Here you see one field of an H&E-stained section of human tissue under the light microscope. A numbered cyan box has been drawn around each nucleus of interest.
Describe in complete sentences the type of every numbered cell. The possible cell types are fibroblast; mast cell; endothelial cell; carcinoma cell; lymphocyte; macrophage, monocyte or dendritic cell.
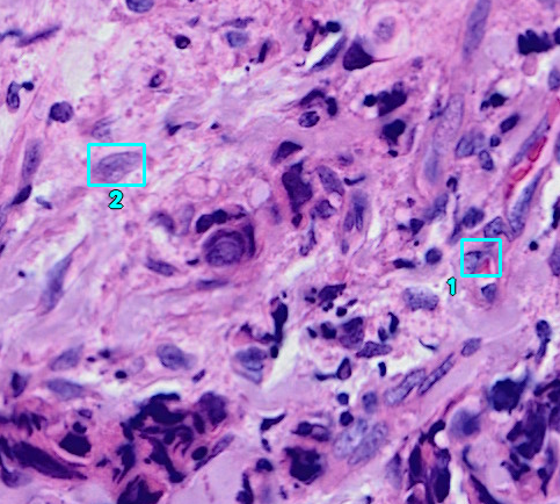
Cell 1 is an endothelial cell. Cell 2 is a fibroblast.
